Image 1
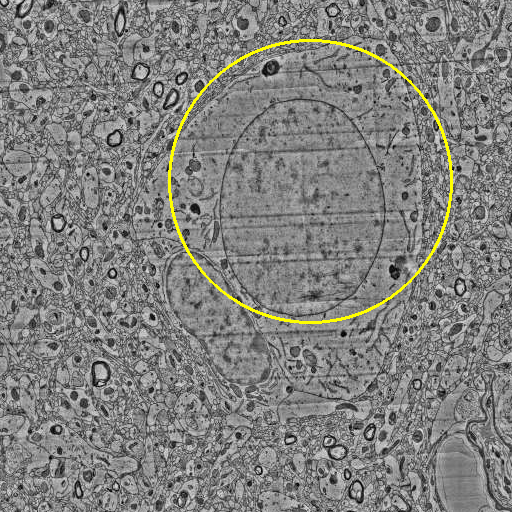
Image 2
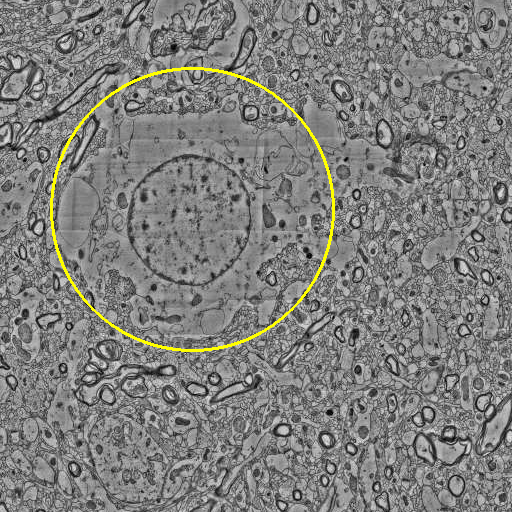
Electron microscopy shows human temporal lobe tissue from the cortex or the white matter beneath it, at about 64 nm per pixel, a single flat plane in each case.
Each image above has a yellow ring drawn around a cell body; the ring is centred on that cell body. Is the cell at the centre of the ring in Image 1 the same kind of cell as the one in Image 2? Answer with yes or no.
no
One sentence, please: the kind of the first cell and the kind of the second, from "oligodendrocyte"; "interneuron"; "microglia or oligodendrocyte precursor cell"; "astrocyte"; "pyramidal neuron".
The ring in the first picture surrounds a pyramidal neuron, and the ring in the second surrounds an astrocyte.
